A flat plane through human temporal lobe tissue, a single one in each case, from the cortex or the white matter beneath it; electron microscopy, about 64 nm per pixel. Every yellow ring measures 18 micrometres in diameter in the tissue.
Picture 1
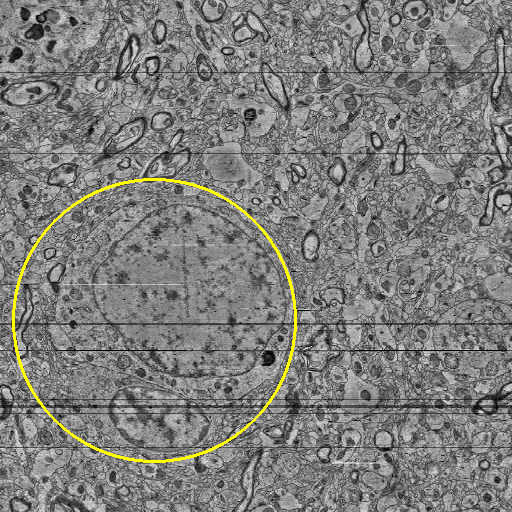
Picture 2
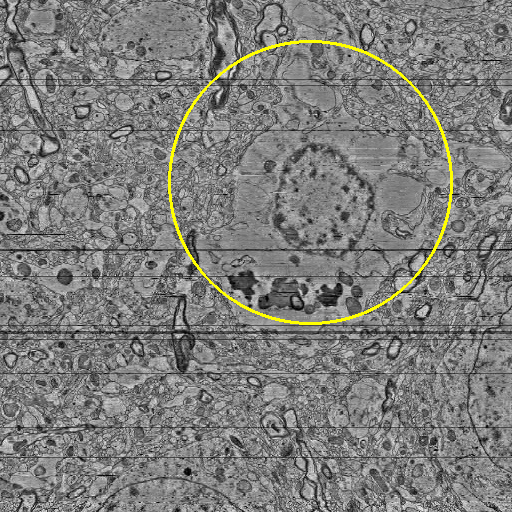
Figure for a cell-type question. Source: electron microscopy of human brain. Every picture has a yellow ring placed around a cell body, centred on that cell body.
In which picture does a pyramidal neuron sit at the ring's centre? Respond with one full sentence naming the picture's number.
The cell in the middle of the ring in picture 1 is the one sought.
